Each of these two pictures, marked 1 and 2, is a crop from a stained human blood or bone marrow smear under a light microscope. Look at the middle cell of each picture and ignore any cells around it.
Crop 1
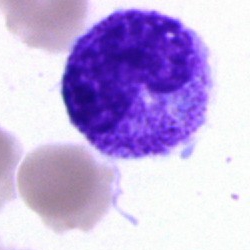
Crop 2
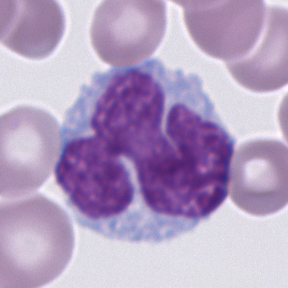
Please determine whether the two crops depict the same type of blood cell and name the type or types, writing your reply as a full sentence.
No, in crop 1 there is a metamyelocyte, and in crop 2 there is a monocyte.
